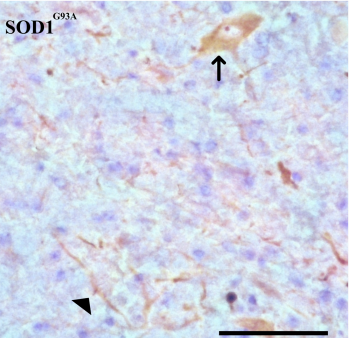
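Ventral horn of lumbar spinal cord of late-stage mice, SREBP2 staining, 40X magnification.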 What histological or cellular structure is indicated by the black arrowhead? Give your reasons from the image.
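Long processes. The arrowhead points to thin, elongated brown strands. The strands run through the tissue between small nuclei.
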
